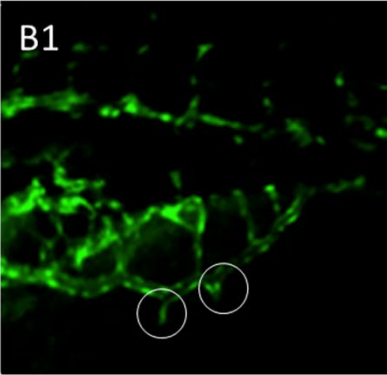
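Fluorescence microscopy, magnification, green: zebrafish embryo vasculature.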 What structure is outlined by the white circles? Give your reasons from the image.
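Each circle encloses a short green projection leaving a larger vessel. The projections end blindly rather than joining another vessel.
Conclusion: vascular branches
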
